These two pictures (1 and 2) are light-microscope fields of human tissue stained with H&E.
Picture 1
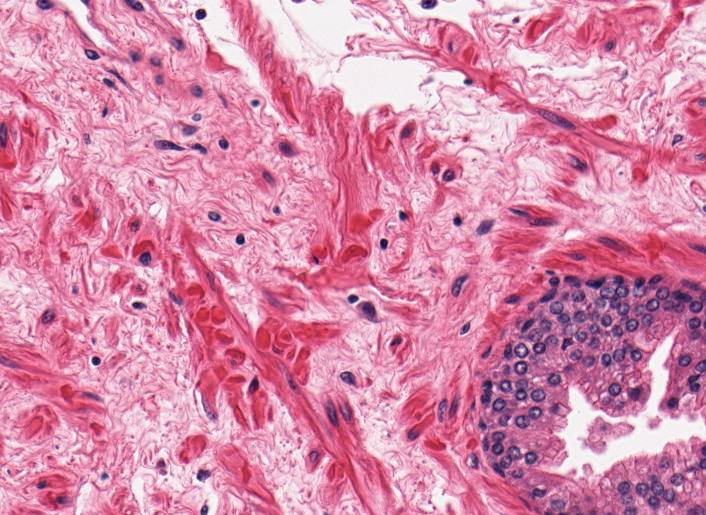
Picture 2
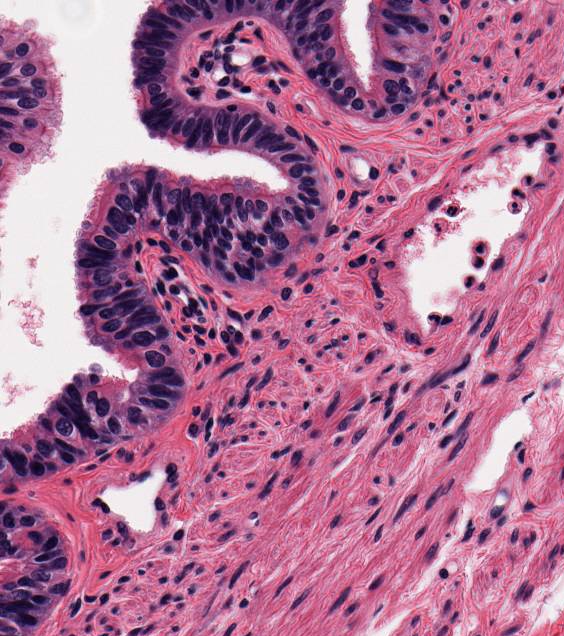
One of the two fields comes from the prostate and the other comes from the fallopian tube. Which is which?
1: prostate
2: fallopian tube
